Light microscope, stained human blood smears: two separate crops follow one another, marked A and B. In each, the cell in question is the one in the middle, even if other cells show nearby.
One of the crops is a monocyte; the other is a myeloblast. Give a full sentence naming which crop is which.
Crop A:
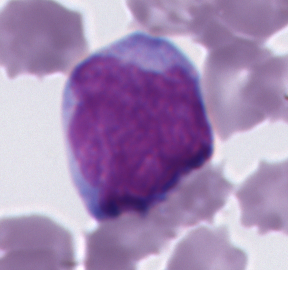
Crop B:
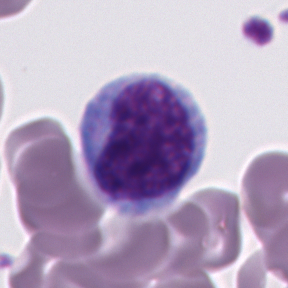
Crop A is labelled a myeloblast, and crop B is labelled a monocyte.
